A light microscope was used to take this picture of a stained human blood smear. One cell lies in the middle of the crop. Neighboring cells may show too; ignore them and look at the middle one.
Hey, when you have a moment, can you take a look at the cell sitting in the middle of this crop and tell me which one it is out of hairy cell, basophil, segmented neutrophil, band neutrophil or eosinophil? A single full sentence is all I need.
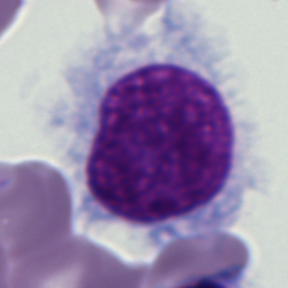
In the middle of this smear crop, the cell is a hairy cell.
